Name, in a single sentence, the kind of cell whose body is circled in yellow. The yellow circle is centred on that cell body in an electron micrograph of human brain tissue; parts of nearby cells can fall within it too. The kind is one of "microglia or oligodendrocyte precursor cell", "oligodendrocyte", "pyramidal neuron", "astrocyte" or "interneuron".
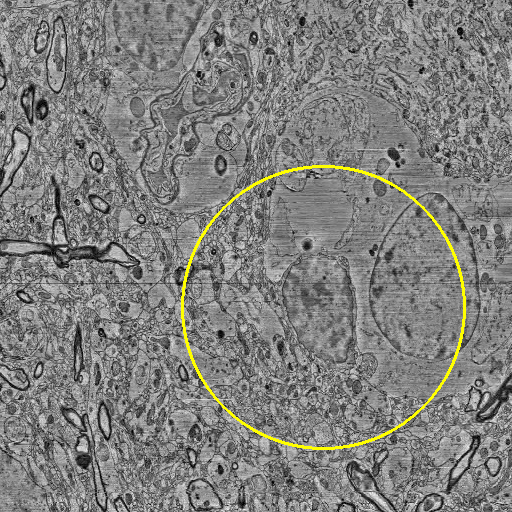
The circled cell body belongs to an oligodendrocyte.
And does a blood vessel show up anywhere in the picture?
Yes, a vessel appears in the picture.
